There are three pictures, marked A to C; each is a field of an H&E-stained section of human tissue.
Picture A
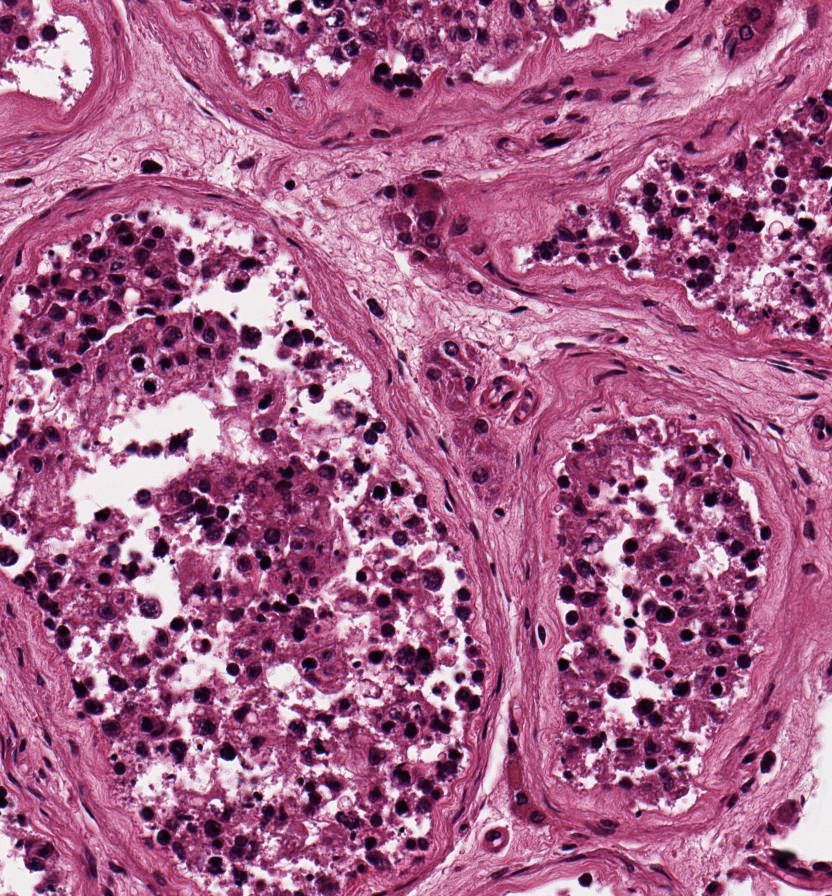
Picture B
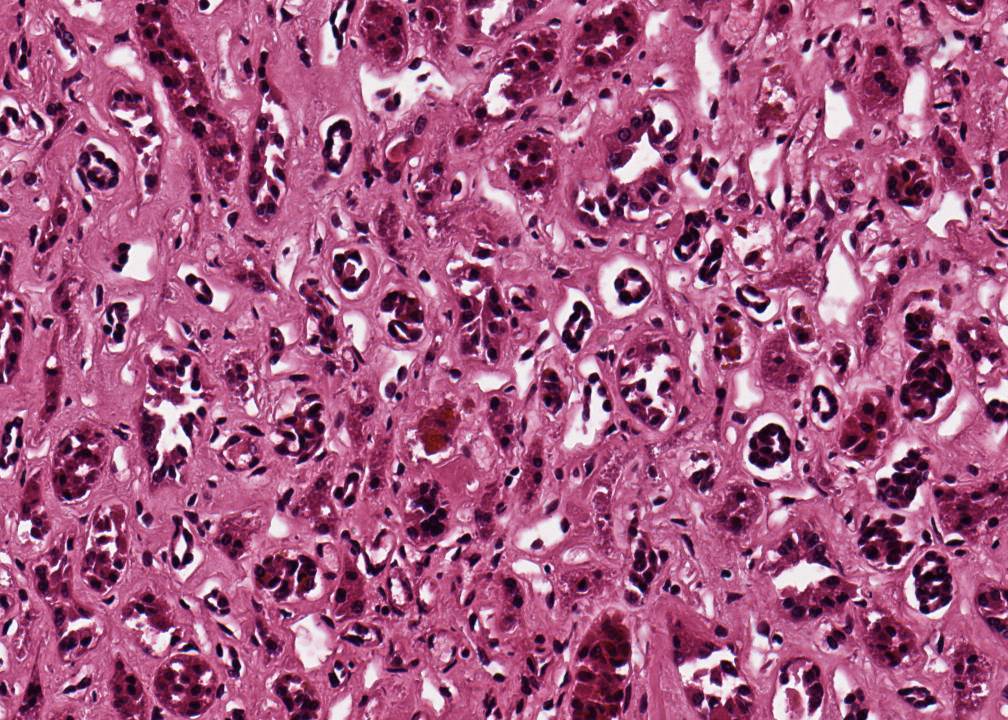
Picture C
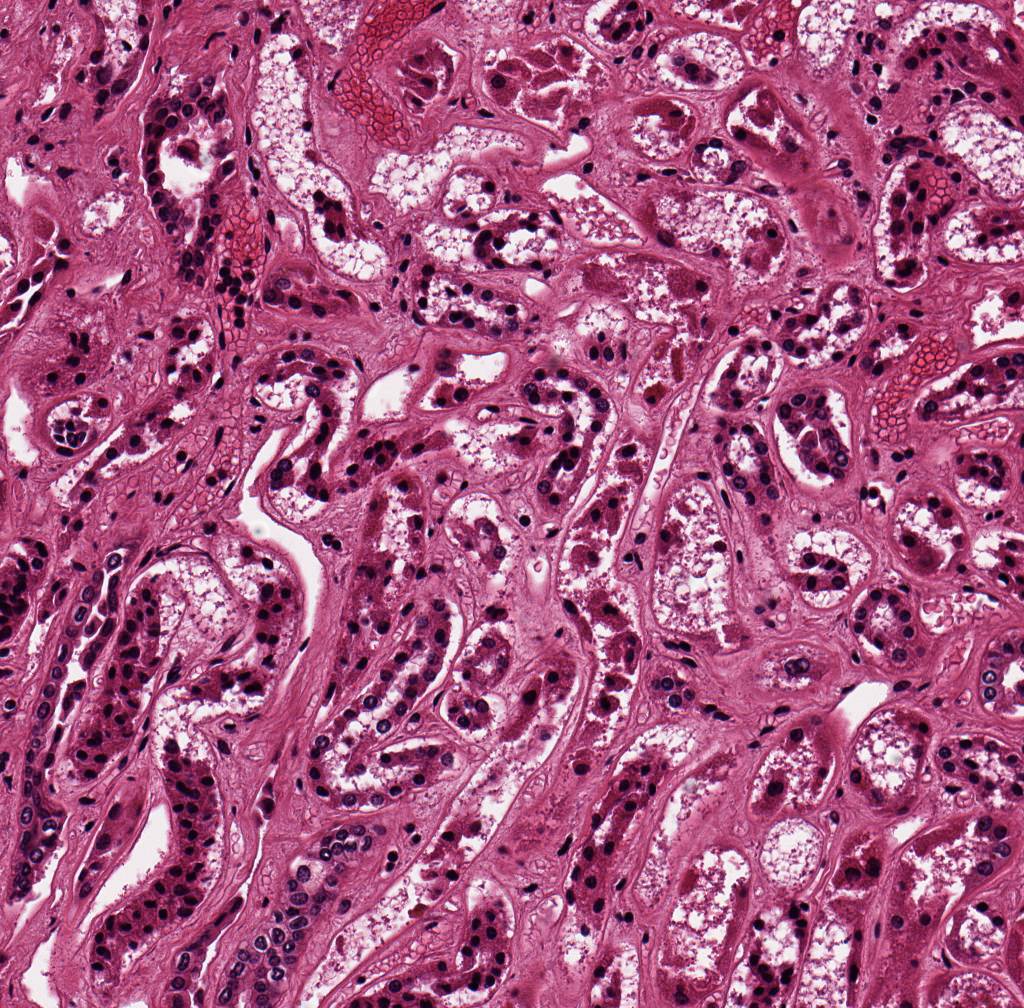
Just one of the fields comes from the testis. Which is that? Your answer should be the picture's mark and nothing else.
A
